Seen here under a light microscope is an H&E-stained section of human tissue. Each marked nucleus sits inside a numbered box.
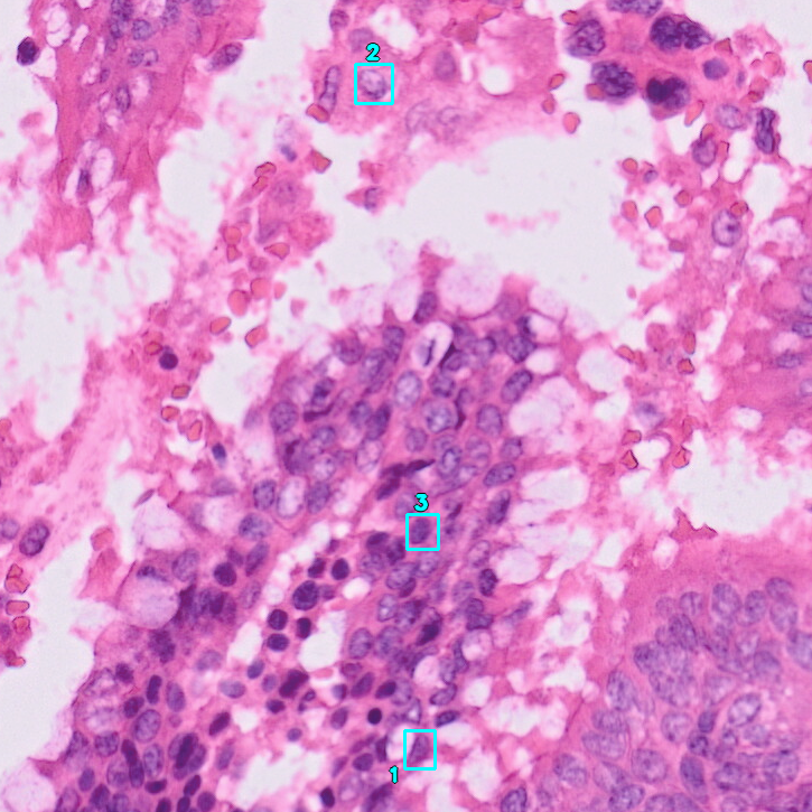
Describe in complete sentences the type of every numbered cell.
Cell 1 is a ciliated epithelial cell, cell 2 is a macrophage or monocyte and cell 3 is a ciliated epithelial cell.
